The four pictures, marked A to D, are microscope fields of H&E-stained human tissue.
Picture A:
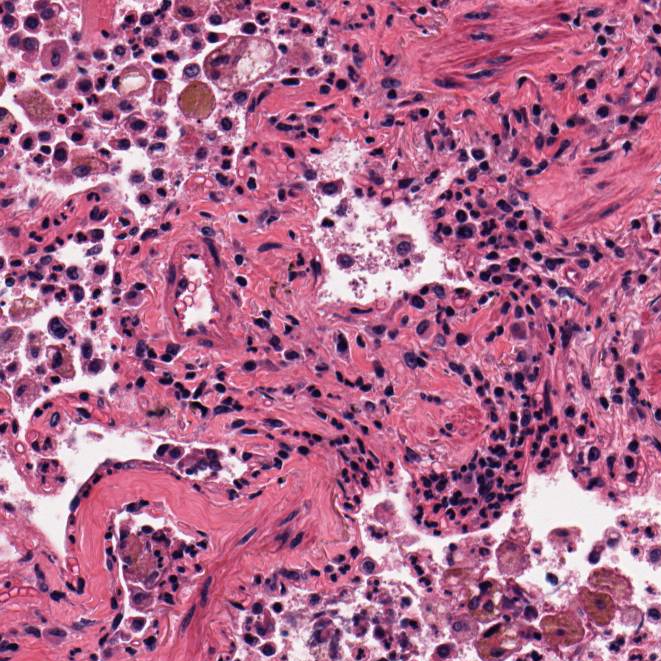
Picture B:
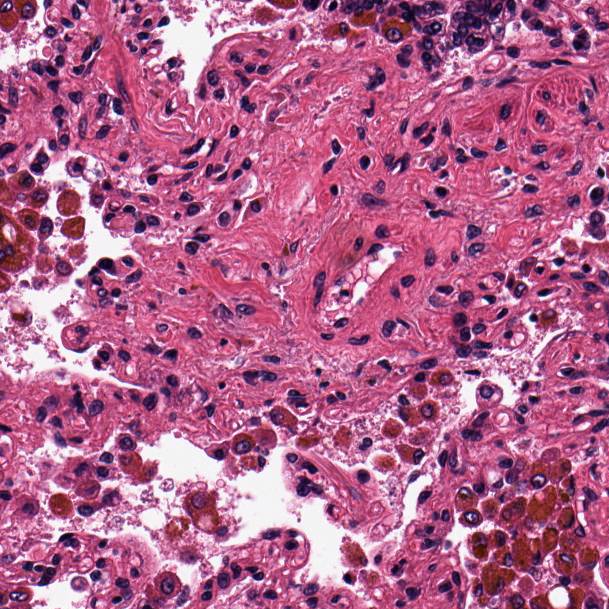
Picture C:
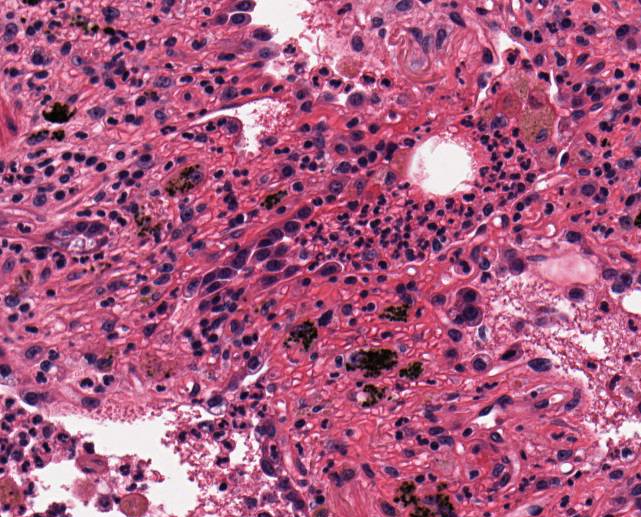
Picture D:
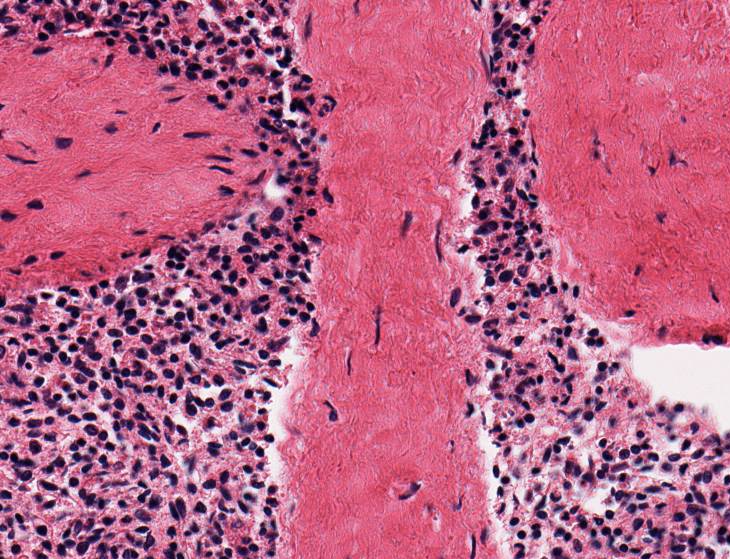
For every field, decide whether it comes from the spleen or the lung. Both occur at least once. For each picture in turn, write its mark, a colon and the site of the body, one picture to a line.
A: lung
B: lung
C: lung
D: spleen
